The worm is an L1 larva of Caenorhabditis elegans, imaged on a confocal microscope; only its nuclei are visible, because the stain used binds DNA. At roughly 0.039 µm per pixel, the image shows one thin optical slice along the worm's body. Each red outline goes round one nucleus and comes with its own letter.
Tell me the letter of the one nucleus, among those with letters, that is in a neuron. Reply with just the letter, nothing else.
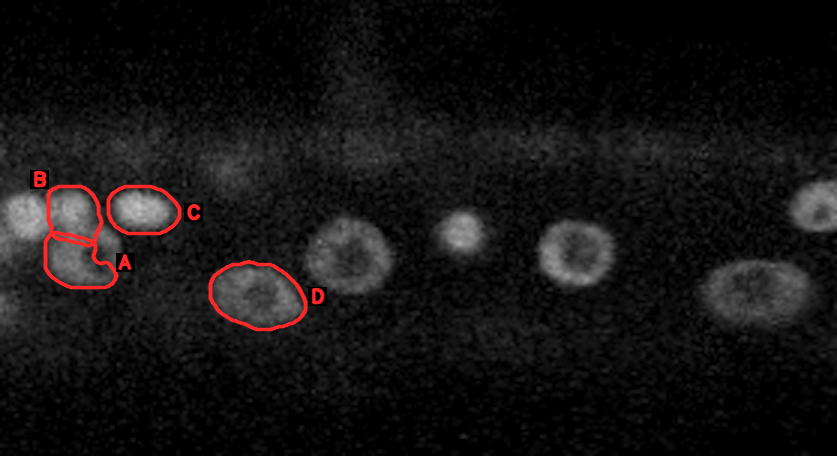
B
